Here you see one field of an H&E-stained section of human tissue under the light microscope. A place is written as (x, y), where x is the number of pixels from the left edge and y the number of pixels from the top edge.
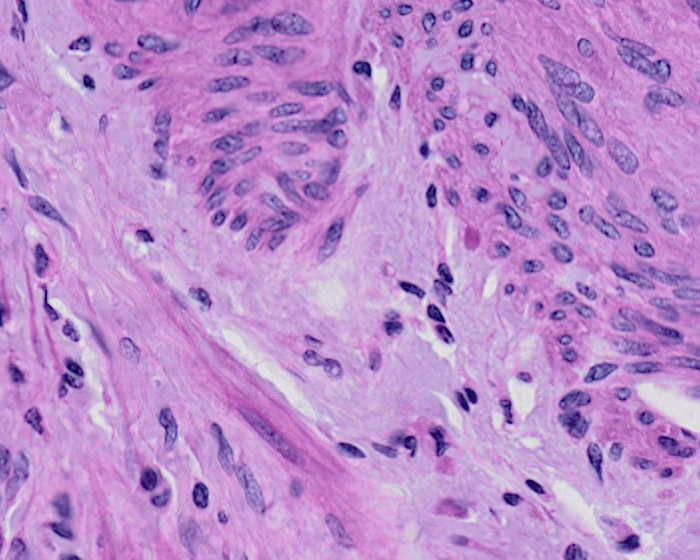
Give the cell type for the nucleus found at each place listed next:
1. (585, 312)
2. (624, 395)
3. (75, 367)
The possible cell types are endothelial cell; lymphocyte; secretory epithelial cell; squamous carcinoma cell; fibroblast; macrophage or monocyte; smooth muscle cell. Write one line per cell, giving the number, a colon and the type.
1: smooth muscle cell
2: smooth muscle cell
3: lymphocyte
